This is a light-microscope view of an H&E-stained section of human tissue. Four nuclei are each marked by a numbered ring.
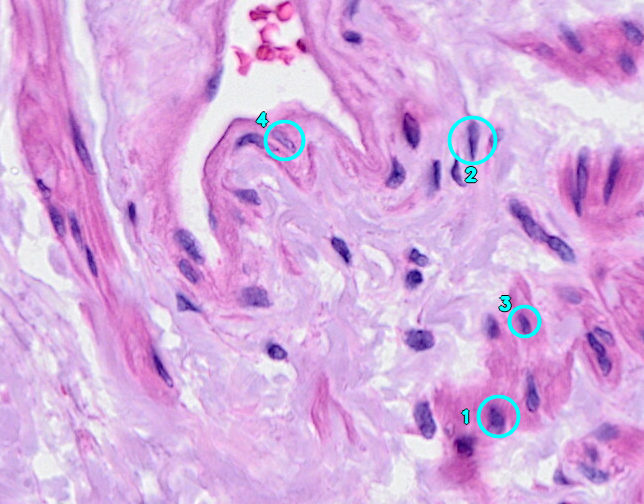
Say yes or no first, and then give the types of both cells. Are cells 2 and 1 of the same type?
No, unlike cell 2, which is a fibroblast, cell 1 is a smooth muscle cell.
